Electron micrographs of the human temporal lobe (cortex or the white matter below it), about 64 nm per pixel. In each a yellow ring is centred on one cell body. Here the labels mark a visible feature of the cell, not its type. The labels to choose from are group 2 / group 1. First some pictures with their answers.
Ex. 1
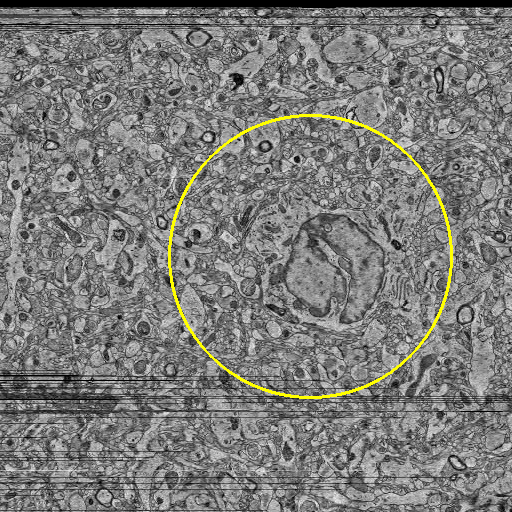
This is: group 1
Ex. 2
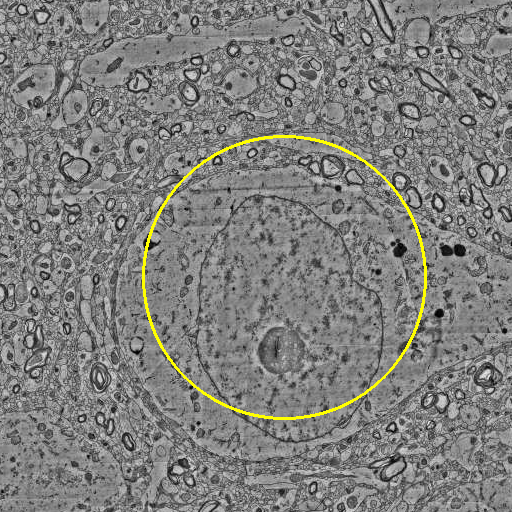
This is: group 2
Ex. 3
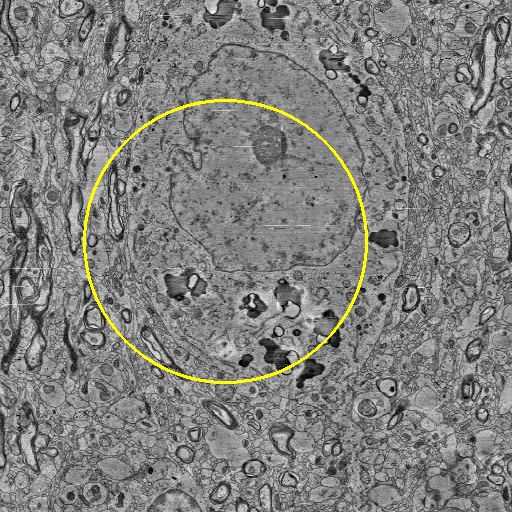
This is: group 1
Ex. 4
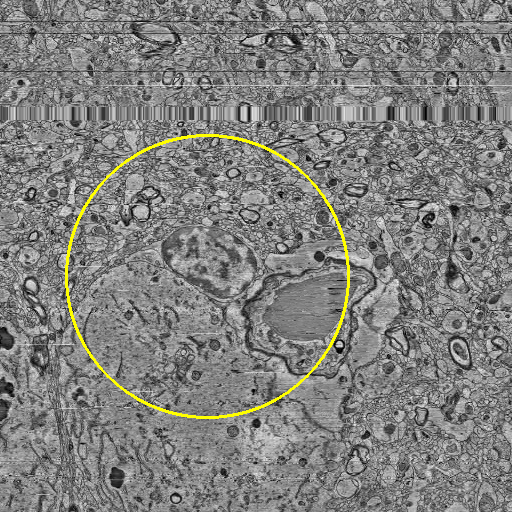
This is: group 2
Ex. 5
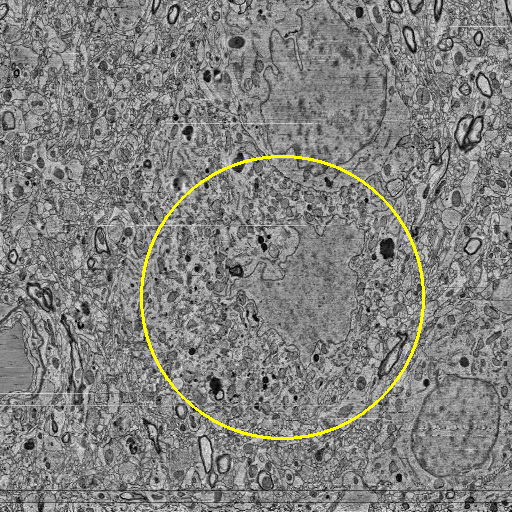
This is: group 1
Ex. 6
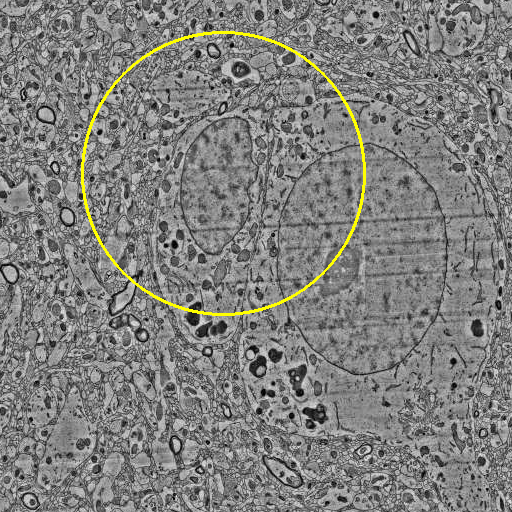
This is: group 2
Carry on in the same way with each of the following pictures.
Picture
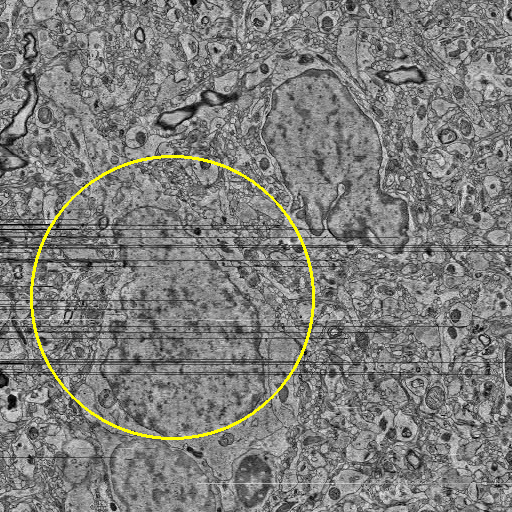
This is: group 2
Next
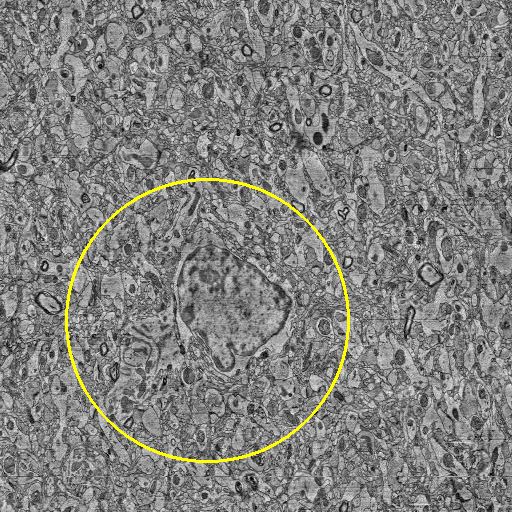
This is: group 1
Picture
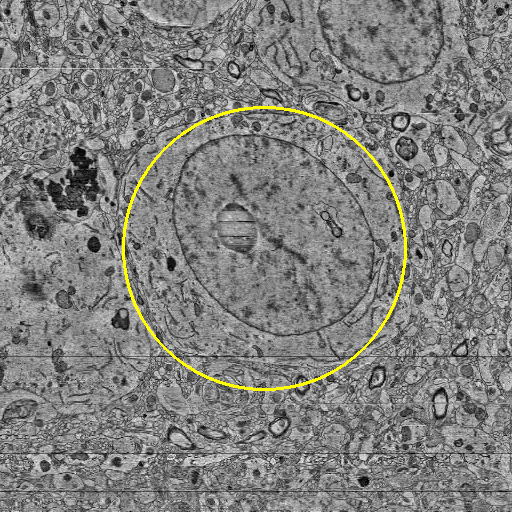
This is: group 2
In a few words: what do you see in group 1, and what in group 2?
group 1, deeply folded or indented nuclear envelopes; group 2, smooth nuclear envelopes without deep folds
